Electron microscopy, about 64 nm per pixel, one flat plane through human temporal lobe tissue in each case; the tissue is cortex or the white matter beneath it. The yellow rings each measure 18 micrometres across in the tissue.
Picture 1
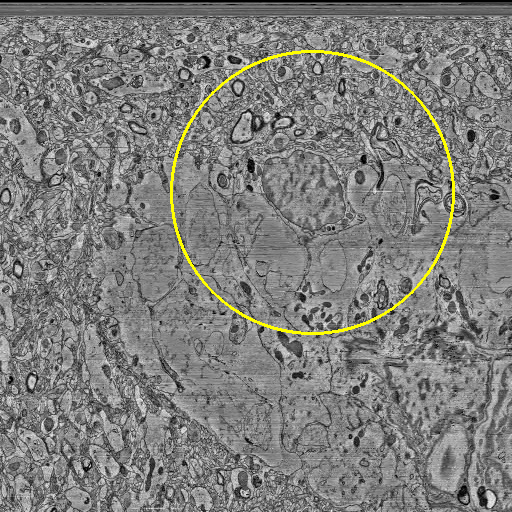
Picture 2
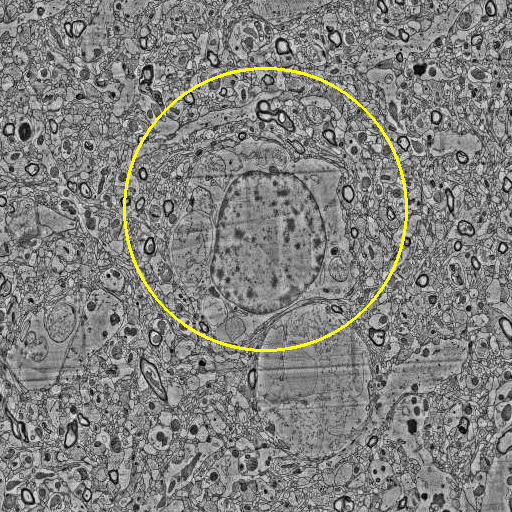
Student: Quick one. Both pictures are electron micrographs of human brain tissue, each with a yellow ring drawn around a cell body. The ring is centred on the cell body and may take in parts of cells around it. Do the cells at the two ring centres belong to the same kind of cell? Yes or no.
no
